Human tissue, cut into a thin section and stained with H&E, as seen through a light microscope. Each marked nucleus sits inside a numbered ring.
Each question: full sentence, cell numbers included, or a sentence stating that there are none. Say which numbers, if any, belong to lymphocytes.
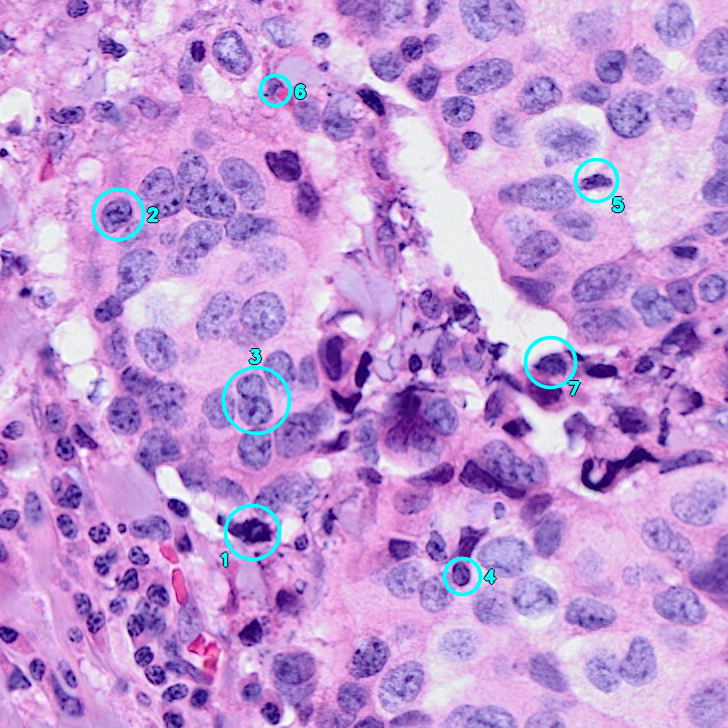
Into the category of lymphocytes fall the cells numbered 4 and 5.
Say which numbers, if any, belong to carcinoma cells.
The cells numbered 1, 2, 3 and 7 are identified as carcinoma cells.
